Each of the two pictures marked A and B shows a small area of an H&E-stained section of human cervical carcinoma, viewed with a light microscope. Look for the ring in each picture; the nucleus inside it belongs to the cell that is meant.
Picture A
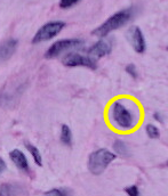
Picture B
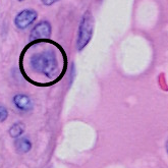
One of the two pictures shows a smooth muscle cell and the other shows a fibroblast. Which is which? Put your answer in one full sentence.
It is picture A that shows a fibroblast, and picture B that shows a smooth muscle cell.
